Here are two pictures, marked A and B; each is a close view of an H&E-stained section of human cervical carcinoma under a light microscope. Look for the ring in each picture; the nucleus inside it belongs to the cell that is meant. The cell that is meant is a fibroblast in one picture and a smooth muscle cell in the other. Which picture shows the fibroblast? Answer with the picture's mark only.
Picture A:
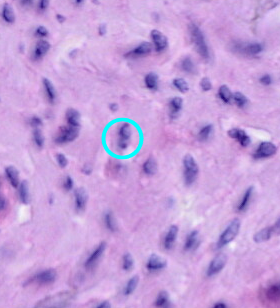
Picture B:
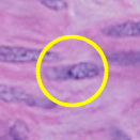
A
